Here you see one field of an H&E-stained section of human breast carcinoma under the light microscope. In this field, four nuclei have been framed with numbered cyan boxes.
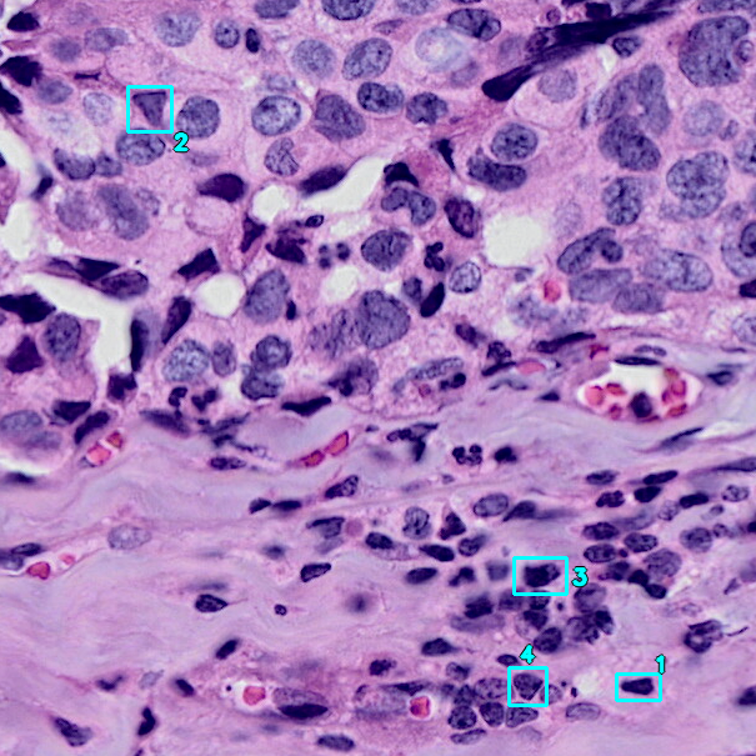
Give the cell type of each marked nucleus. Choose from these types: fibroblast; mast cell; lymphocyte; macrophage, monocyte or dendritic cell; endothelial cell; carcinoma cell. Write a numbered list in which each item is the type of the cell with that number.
1. lymphocyte
2. carcinoma cell
3. lymphocyte
4. lymphocyte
